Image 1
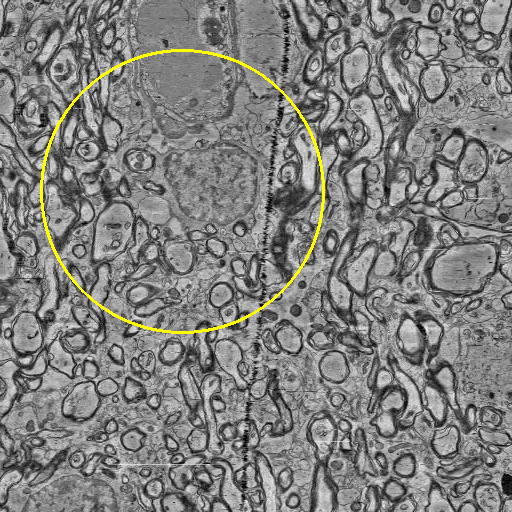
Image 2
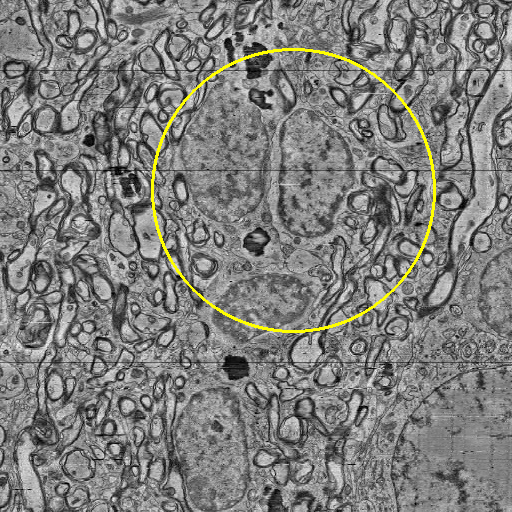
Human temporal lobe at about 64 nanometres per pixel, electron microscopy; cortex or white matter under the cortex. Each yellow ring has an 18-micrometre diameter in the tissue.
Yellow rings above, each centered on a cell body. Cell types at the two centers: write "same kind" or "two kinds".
two kinds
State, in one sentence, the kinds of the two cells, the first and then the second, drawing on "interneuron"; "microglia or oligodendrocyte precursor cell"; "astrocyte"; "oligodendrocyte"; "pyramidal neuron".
The ring in the second picture is centred on a microglial cell or oligodendrocyte precursor cell, the ring in the first on an oligodendrocyte.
